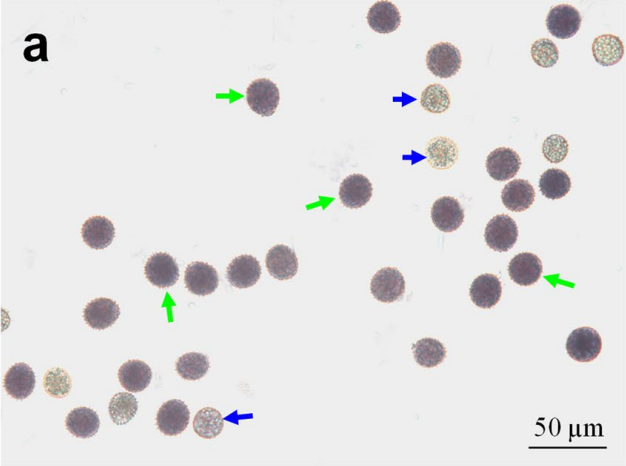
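These are pollen grains lying singly and in small groups on a slide. Each grain is round, with a finely spiny outer wall that gives its edge a beaded outline. The pale grains are often a little smaller than the dark ones.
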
